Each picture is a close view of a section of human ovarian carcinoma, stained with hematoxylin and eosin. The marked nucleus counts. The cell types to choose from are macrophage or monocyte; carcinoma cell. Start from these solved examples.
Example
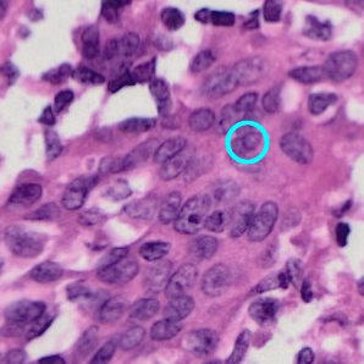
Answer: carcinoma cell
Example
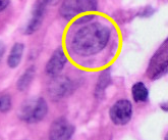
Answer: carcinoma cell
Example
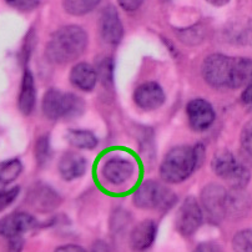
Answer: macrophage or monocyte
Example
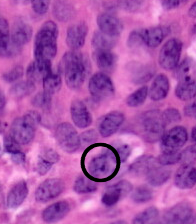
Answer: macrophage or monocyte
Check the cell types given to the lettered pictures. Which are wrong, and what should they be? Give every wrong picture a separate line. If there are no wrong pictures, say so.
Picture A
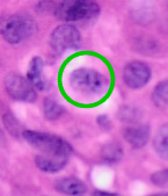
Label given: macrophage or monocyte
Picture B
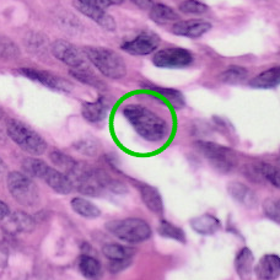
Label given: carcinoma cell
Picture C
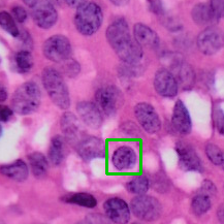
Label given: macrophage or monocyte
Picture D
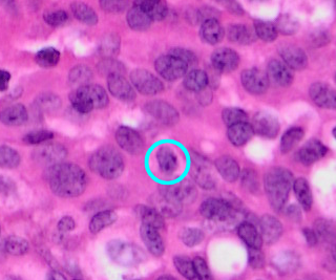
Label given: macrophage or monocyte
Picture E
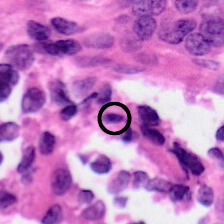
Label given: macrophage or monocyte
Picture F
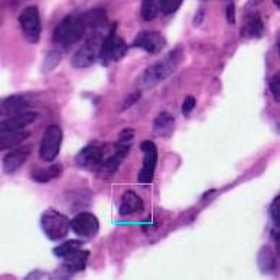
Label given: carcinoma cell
Wrong: F (carcinoma cell); correct: macrophage or monocyte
